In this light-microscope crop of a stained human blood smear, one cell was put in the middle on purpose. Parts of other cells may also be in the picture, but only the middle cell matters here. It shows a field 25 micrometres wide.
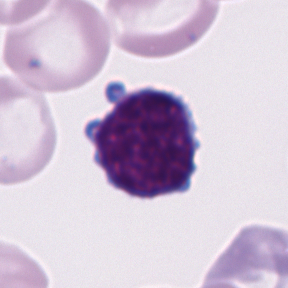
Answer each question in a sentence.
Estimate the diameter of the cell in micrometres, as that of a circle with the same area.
The diameter of the cell comes to about 10 micrometres.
